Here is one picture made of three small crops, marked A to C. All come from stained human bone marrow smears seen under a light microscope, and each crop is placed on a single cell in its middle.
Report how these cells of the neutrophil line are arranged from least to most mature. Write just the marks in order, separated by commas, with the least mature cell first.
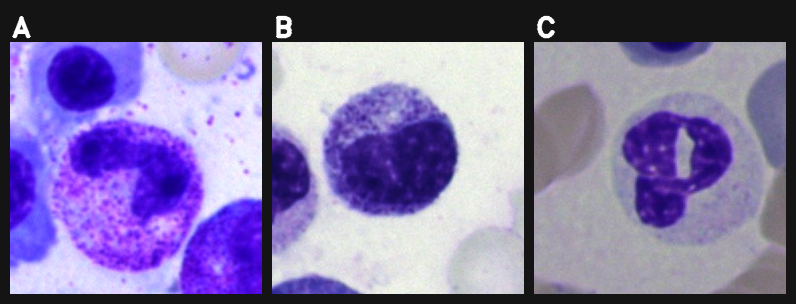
B, A, C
